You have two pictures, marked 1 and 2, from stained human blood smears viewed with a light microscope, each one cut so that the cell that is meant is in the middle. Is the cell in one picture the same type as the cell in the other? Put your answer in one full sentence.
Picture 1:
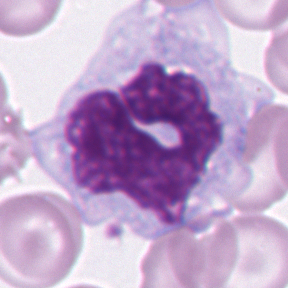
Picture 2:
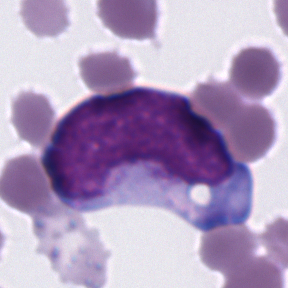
Yes, both are monocytes.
